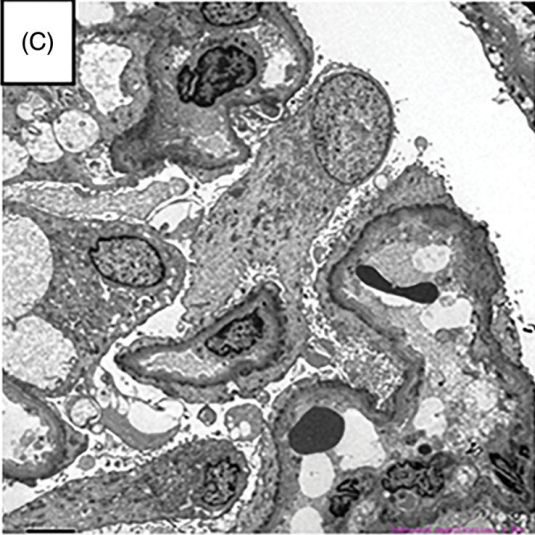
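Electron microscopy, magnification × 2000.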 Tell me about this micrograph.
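Several glomerular capillary loops are cut across, each lined by endothelium and covered on the outer side by podocytes with oval or irregular nuclei and clumped chromatin. Some lumina hold dark, smooth red blood cells, others pale, flocculent contents. Along the outer surfaces of the loops the epithelial cytoplasm lies in broad, flattened bands over the basement membrane, and the fine comb of separate foot processes is hard to find. Pale vacuoles appear within some cells, and the urinary space at upper right is clear. This is podocyte foot process effacement across the loops.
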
